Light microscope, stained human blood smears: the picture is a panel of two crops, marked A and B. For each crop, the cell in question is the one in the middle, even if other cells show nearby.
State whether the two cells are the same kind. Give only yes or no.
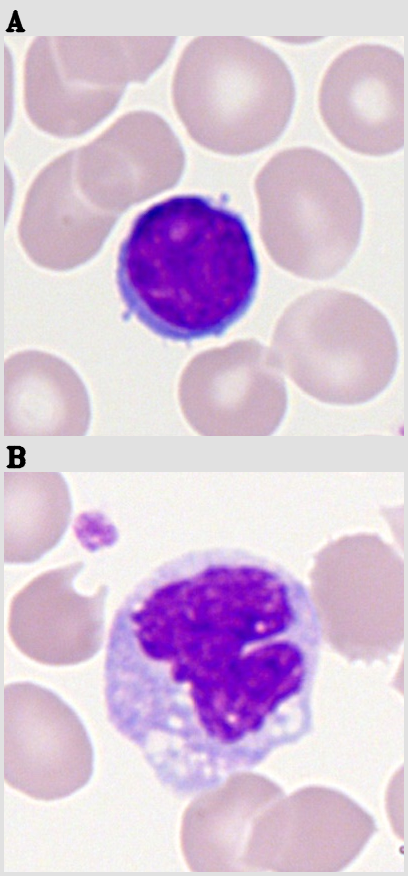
no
